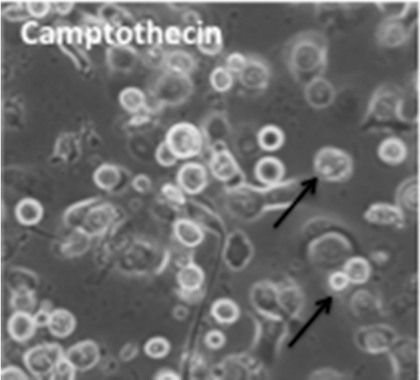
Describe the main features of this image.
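Many cells appear as small, round, phase-bright bodies with a bright rim, lying singly or in loose clusters, some with irregular, granular contours. Between them only a few cells remain flat and spread on the dish, showing a dark nucleus within a pale cytoplasm, and a few thin elongated processes cross the field.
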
